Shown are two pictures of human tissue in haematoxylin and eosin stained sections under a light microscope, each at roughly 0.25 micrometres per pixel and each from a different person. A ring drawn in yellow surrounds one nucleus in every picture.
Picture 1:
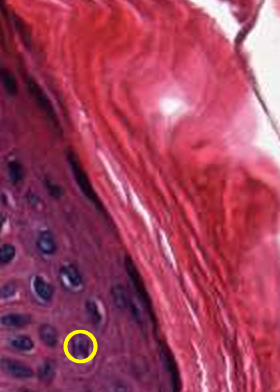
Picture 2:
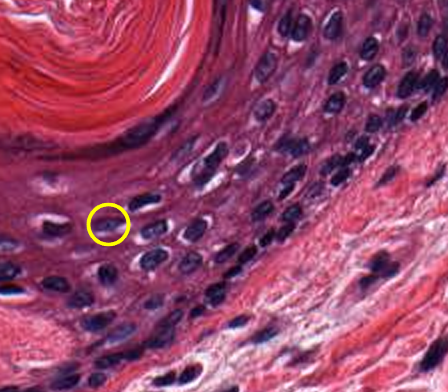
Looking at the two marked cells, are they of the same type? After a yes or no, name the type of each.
Yes, both are keratinocytes.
